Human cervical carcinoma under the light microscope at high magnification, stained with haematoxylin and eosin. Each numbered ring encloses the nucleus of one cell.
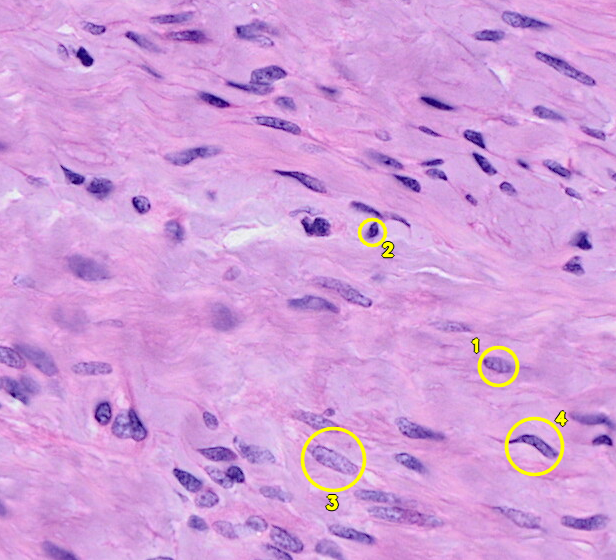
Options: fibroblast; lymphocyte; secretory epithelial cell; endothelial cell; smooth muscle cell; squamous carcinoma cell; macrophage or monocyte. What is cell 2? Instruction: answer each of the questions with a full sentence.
What the number 2 marks in this field is a fibroblast.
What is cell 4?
The cell to which the number 4 is assigned is a fibroblast.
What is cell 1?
The nucleus labeled 1 belongs to a fibroblast.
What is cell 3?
Numbered cell 3 is a smooth muscle cell in this tissue section.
